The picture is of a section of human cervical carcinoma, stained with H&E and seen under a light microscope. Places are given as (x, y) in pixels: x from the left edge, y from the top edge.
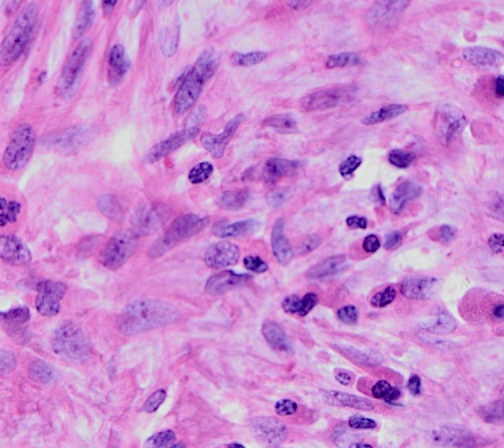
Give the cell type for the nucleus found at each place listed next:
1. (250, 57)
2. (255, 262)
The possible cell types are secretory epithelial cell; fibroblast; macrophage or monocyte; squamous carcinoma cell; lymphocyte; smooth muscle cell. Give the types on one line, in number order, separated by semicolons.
fibroblast; lymphocyte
